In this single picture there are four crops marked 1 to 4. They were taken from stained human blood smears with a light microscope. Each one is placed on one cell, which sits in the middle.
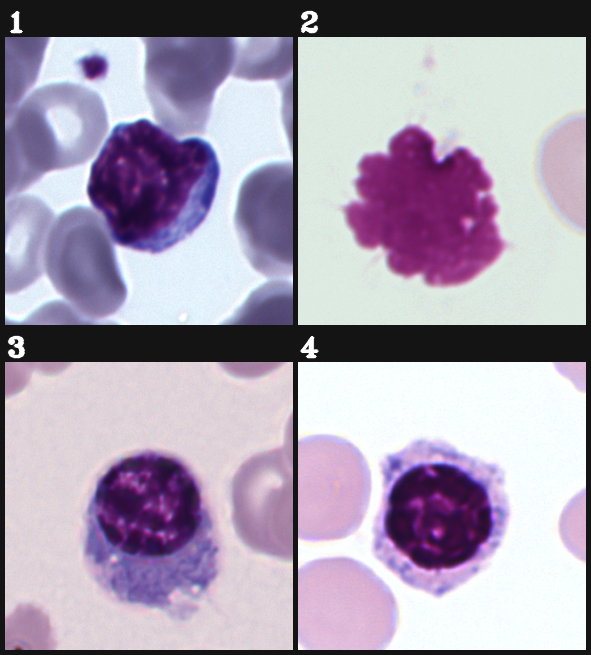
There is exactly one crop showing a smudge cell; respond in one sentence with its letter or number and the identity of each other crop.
The cell of interest in crop 2 is a smudge cell, while crop 1 is a typical lymphocyte, crop 3 is a plasma cell and crop 4 is a normoblast.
